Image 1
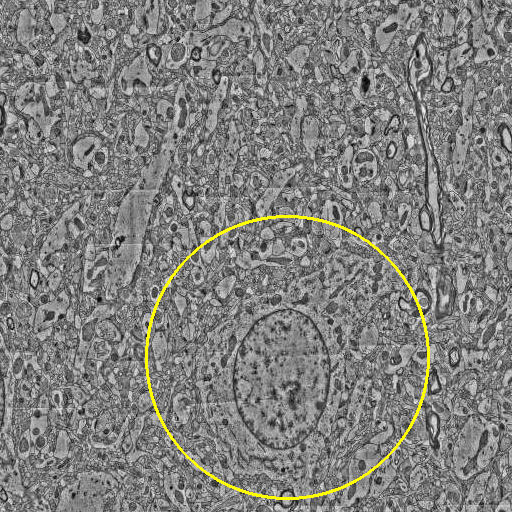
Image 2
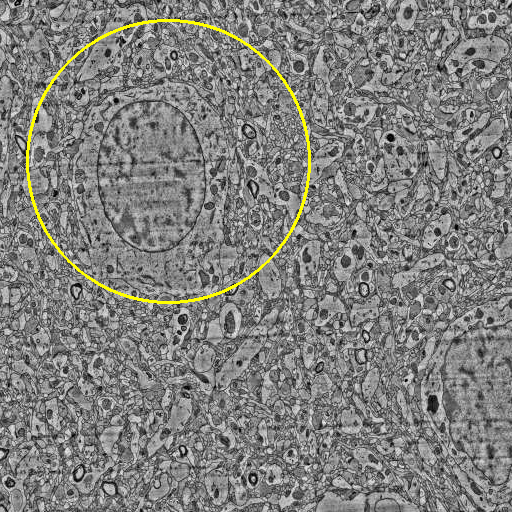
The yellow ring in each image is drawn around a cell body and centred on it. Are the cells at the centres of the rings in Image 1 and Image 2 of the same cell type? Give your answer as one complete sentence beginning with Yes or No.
Yes, both cells are of the same type.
